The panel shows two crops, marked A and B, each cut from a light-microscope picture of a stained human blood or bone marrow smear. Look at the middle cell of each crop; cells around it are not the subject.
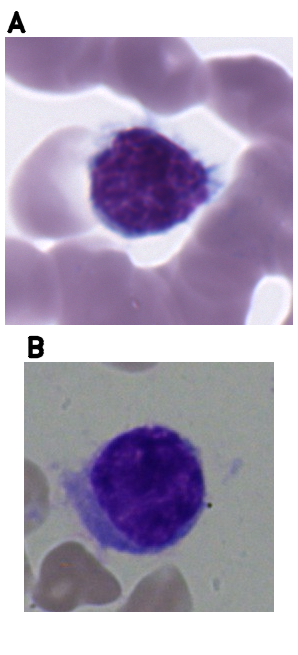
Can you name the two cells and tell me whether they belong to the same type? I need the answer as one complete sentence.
Yes, they do, both crops show hairy cells.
